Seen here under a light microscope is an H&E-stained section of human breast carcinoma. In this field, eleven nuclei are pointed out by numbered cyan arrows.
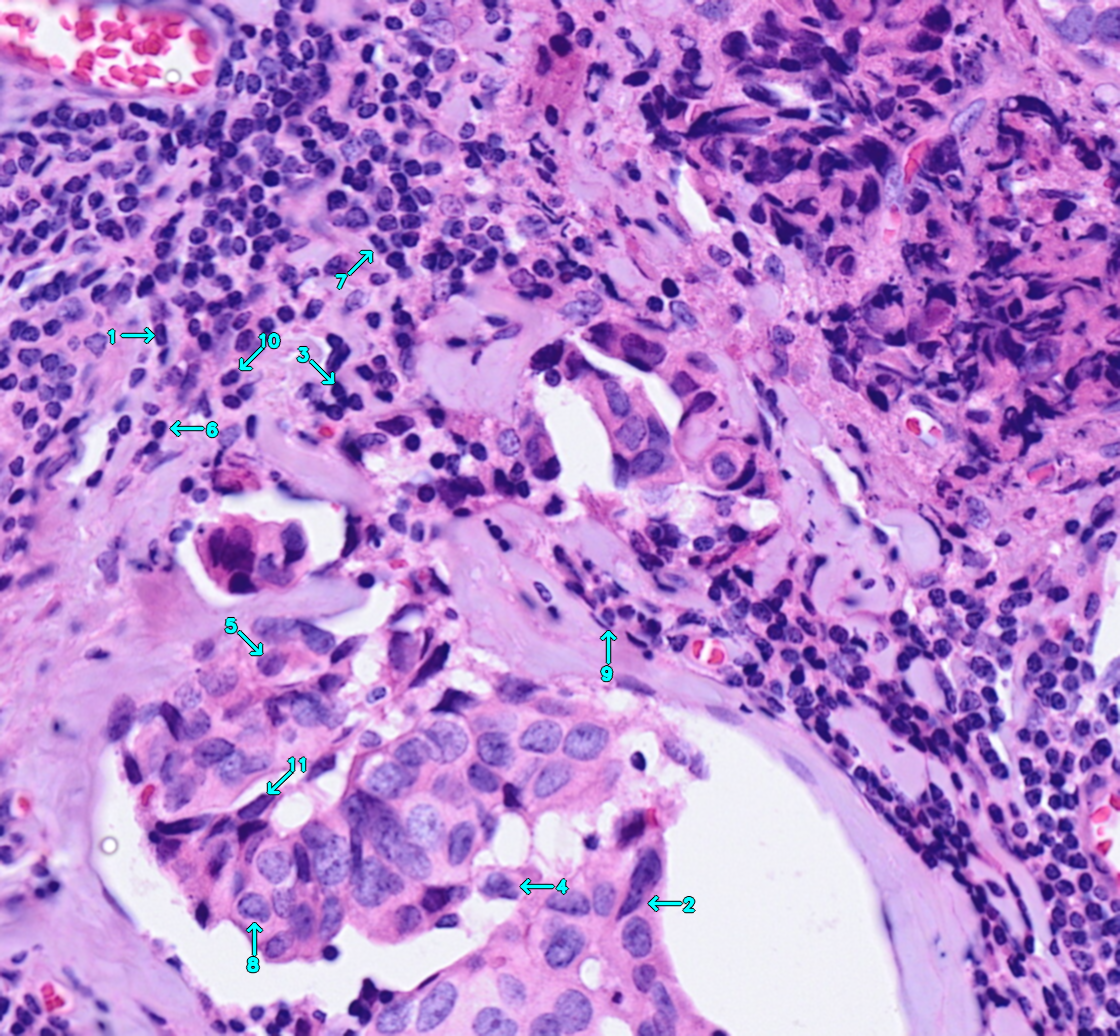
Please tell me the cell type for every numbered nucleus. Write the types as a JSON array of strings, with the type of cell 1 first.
["lymphocyte", "carcinoma cell", "lymphocyte", "carcinoma cell", "carcinoma cell", "lymphocyte", "lymphocyte", "carcinoma cell", "lymphocyte", "lymphocyte", "carcinoma cell"]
